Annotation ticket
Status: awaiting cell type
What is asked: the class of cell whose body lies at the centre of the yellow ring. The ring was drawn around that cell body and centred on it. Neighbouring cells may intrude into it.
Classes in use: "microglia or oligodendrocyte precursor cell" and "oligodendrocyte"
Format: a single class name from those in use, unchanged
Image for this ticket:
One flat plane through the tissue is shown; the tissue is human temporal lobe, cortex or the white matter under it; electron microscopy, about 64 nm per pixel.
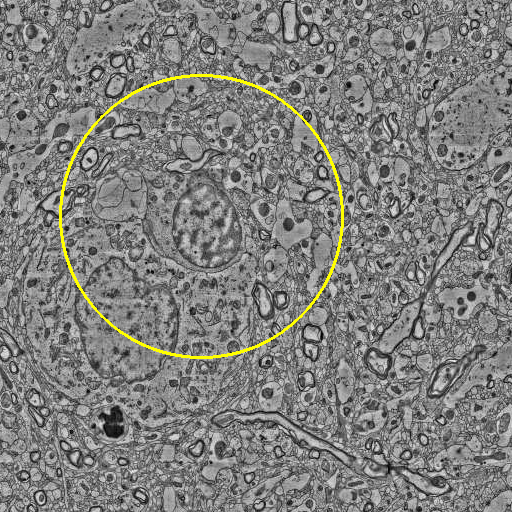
oligodendrocyte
